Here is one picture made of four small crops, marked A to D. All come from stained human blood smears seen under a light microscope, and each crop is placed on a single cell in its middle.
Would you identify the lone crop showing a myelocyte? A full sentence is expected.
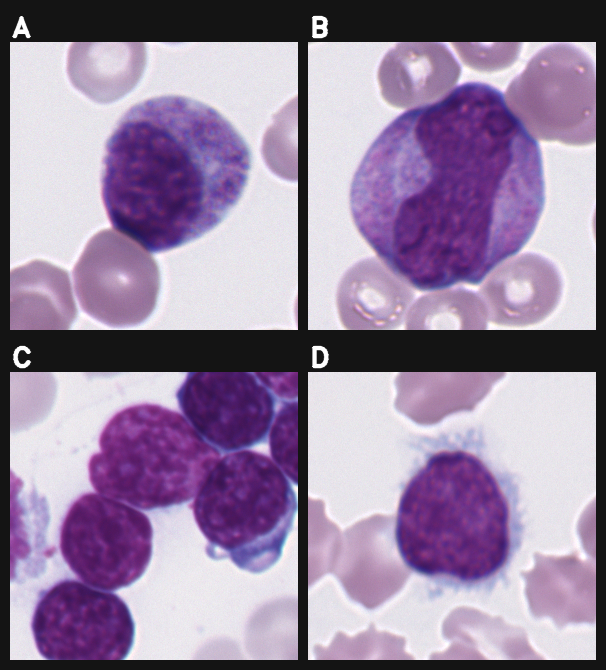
The crop that has a myelocyte in the middle is crop A.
